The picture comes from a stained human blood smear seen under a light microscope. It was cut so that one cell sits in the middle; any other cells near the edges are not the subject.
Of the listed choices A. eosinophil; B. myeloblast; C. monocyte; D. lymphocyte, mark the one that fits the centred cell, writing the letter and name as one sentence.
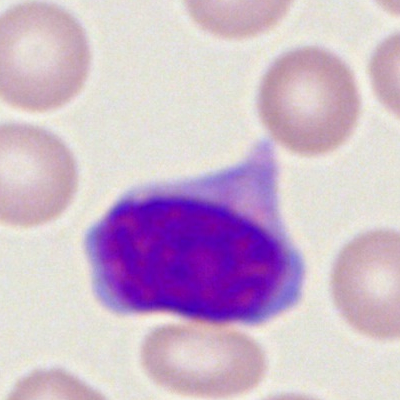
The centrally positioned cell is a lymphocyte, consistent with option D, which is correct.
